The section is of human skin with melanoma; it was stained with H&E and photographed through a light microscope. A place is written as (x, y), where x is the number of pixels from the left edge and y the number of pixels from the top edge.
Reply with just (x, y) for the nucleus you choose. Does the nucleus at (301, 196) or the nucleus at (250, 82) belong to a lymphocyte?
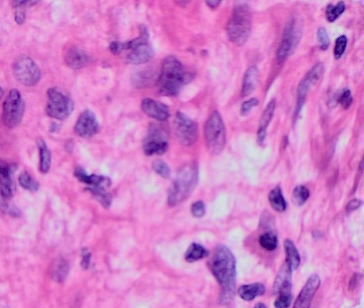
(301, 196)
